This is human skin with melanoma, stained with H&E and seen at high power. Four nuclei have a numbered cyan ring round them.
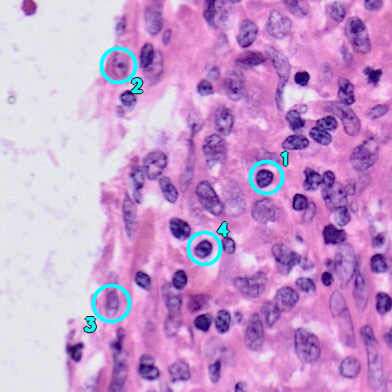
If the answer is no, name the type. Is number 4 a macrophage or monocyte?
No, it is a lymphocyte.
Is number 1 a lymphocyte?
Yes.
